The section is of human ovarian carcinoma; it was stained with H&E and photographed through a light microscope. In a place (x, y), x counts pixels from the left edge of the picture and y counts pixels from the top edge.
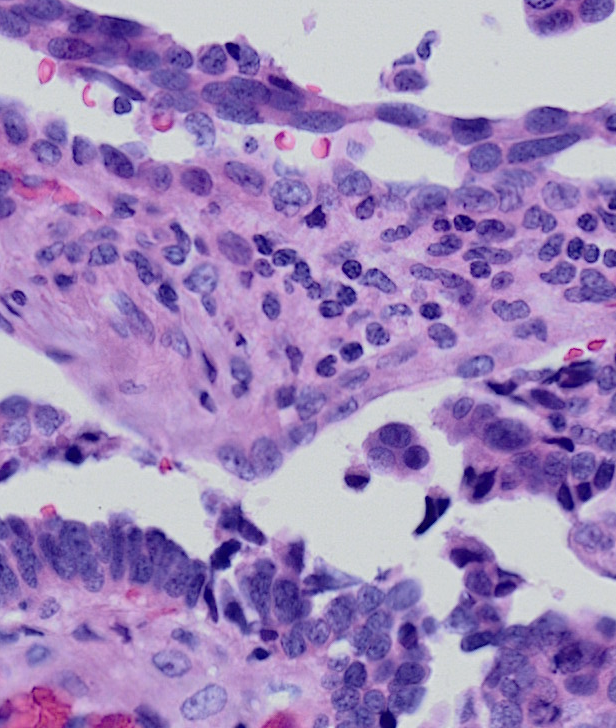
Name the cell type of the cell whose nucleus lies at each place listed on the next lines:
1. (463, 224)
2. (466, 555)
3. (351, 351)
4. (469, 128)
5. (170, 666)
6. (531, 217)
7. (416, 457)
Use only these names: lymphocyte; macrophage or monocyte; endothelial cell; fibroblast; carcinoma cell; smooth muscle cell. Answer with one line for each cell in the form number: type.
1: lymphocyte
2: carcinoma cell
3: lymphocyte
4: carcinoma cell
5: fibroblast
6: macrophage or monocyte
7: carcinoma cell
